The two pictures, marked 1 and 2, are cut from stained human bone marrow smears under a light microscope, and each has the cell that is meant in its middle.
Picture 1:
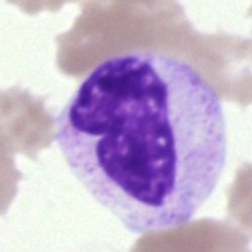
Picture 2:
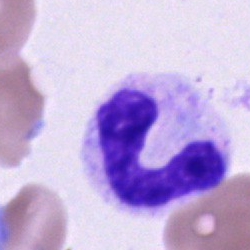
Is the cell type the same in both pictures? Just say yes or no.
no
